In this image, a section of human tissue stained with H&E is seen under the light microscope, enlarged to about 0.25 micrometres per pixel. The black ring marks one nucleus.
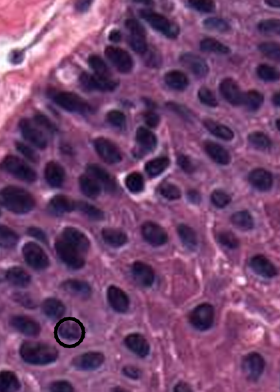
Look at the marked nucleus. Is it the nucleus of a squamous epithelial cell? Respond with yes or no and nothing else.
yes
